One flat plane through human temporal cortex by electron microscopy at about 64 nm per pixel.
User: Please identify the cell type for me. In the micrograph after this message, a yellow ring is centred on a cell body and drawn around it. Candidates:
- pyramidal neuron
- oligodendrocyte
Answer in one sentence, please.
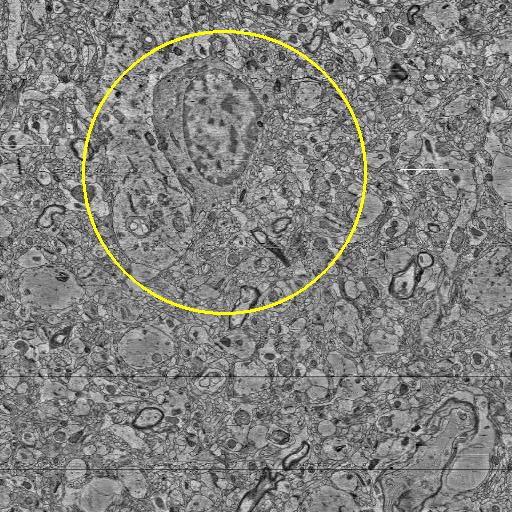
The ring is drawn around the cell body of an oligodendrocyte.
